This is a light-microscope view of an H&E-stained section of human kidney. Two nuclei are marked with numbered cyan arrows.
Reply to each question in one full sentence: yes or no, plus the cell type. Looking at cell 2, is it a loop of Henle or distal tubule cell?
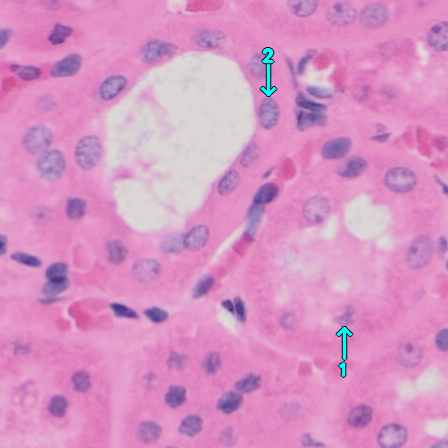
Yes, the cell that bears number 2 is a loop of Henle or distal tubule cell.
